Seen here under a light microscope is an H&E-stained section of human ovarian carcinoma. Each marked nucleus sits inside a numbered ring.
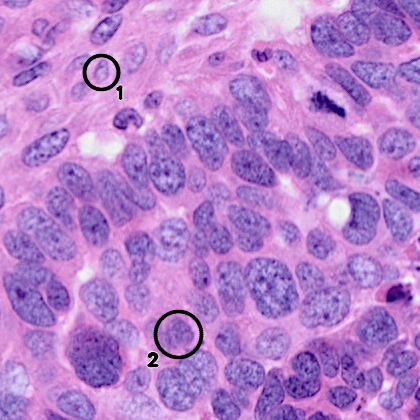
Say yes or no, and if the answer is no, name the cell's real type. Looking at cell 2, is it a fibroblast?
No, it is a carcinoma cell.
